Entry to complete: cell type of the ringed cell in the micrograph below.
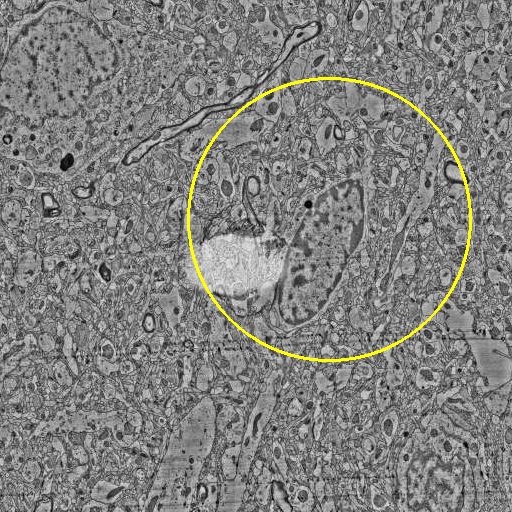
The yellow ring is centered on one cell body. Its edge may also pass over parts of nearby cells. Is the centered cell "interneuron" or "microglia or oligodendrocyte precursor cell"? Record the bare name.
microglia or oligodendrocyte precursor cell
